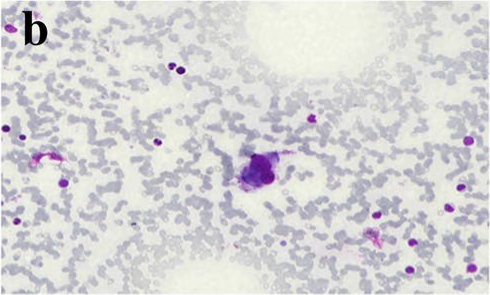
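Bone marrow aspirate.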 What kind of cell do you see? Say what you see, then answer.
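Hypolobated megakaryocyte. A single very large cell lies in the centre, much larger than the surrounding cells. Its nucleus is a compact dark mass without many lobes.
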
